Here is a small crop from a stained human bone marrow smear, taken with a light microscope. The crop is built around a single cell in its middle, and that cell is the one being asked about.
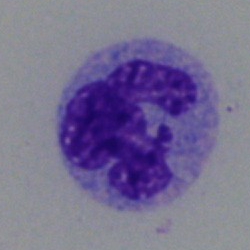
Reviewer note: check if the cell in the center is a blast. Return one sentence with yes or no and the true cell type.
No, the centrally located cell is a monocyte rather than a blast.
